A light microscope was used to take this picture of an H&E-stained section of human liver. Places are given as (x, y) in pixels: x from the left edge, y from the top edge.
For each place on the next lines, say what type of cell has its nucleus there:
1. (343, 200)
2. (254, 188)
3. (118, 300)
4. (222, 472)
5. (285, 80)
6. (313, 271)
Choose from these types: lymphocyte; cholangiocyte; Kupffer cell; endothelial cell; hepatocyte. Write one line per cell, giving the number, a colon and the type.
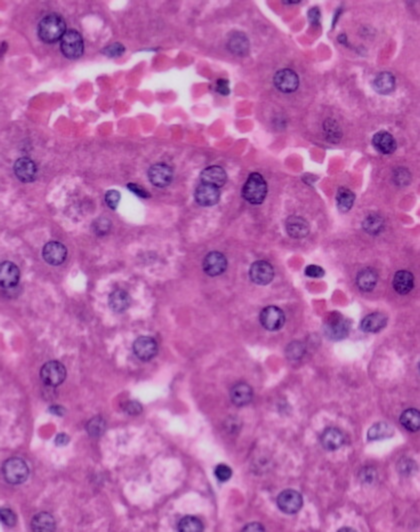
1: Kupffer cell
2: hepatocyte
3: hepatocyte
4: lymphocyte
5: hepatocyte
6: lymphocyte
